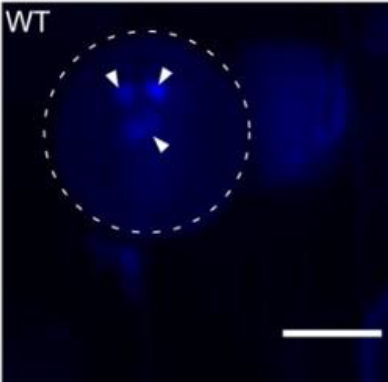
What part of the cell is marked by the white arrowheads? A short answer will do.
Nuclei.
